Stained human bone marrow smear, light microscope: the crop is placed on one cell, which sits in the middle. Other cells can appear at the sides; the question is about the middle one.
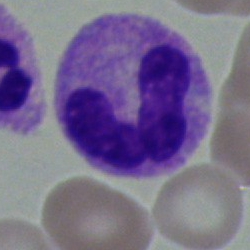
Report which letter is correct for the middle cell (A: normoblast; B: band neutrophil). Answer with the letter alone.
B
